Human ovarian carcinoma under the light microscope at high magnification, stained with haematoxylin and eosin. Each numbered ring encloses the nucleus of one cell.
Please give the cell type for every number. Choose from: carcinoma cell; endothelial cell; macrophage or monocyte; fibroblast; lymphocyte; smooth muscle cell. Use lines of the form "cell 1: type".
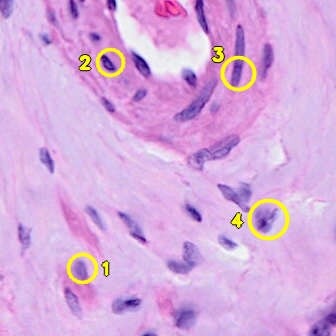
cell 1: smooth muscle cell
cell 2: smooth muscle cell
cell 3: smooth muscle cell
cell 4: fibroblast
